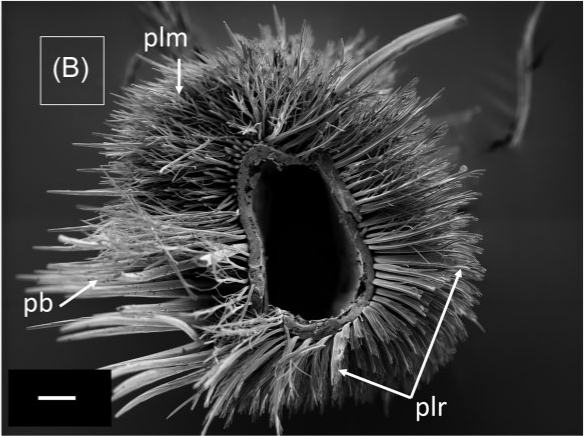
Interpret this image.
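Very dense bristles stand out from the wall all around, giving the section a brush-like outline. The bristles on the upper side are fine and crowded, while those on the lower and right sides are straighter and stiffer. On the left, a tuft of long, stout bristles projects sideways, forming a brush. Some single bristles lie loose beside the section.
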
